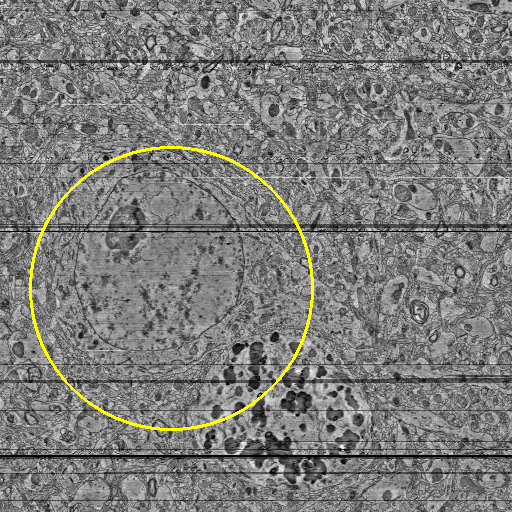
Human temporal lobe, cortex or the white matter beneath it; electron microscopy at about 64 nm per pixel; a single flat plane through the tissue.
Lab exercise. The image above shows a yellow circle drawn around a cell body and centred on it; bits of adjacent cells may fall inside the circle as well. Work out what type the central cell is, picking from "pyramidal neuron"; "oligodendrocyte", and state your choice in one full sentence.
In the image above, the cell at the centre of the yellow circle is a pyramidal neuron.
